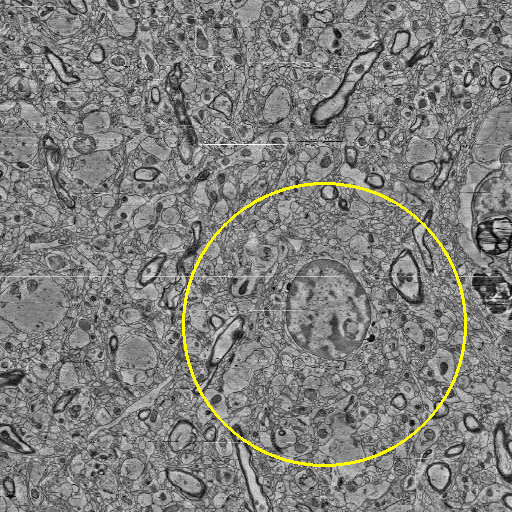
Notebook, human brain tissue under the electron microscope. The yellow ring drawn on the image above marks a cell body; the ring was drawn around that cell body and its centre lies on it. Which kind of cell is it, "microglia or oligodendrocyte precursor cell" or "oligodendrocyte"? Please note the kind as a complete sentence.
The marked cell body is that of a microglial cell or oligodendrocyte precursor cell.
